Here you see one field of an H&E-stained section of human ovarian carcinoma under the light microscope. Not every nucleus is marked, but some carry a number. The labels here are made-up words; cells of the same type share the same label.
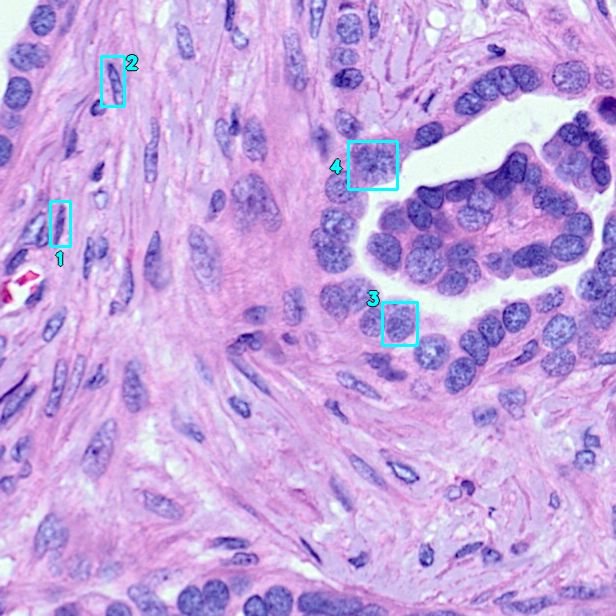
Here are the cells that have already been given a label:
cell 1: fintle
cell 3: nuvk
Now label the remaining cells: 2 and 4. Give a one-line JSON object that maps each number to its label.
{"2": "fintle", "4": "nuvk"}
